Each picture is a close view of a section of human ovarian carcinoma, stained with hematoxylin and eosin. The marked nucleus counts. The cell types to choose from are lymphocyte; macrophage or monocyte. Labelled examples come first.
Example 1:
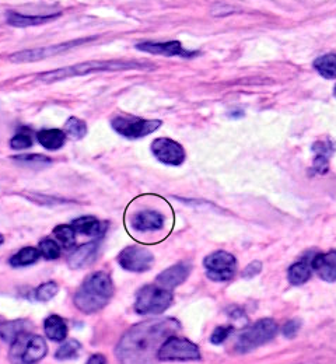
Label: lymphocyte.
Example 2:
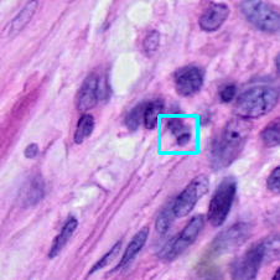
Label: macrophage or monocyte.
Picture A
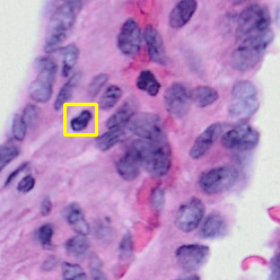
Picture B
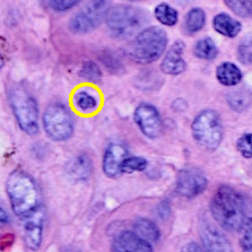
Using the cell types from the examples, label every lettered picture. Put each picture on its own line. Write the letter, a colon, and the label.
A: lymphocyte.
B: lymphocyte.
